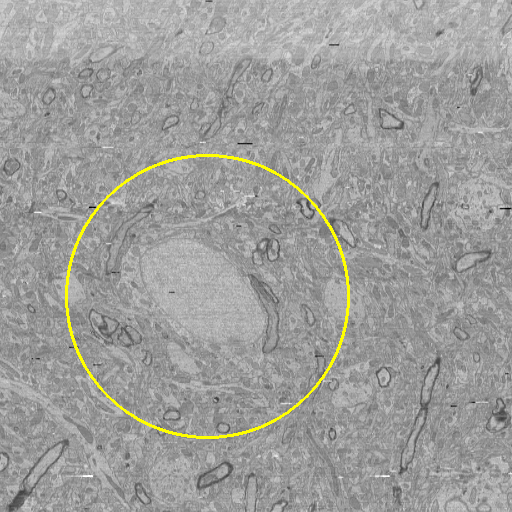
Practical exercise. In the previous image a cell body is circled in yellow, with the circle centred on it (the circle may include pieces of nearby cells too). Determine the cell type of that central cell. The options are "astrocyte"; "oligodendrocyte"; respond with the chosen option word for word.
astrocyte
